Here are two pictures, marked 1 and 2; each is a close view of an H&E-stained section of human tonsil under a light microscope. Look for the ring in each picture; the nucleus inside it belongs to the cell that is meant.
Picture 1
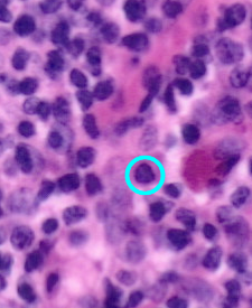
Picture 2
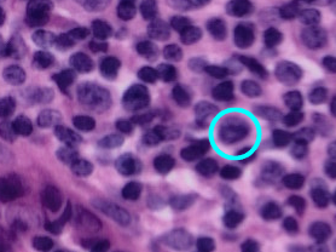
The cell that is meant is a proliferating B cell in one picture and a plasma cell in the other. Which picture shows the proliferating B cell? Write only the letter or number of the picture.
2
